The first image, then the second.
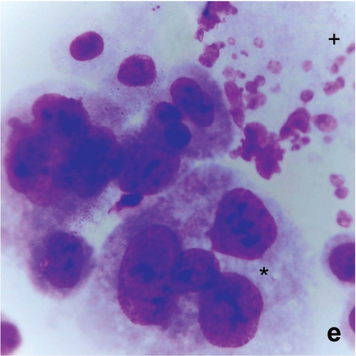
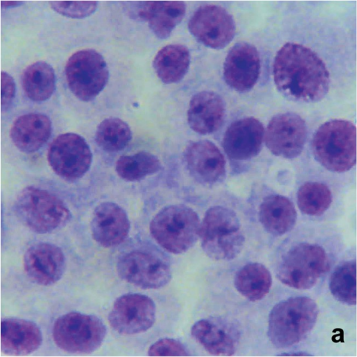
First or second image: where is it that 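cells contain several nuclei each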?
The first image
